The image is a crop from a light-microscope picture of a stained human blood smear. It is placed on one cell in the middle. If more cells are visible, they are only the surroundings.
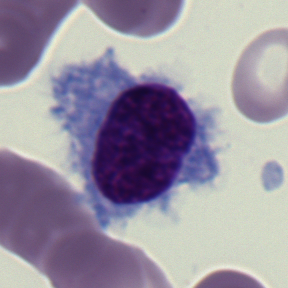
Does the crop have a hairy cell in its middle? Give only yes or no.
yes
